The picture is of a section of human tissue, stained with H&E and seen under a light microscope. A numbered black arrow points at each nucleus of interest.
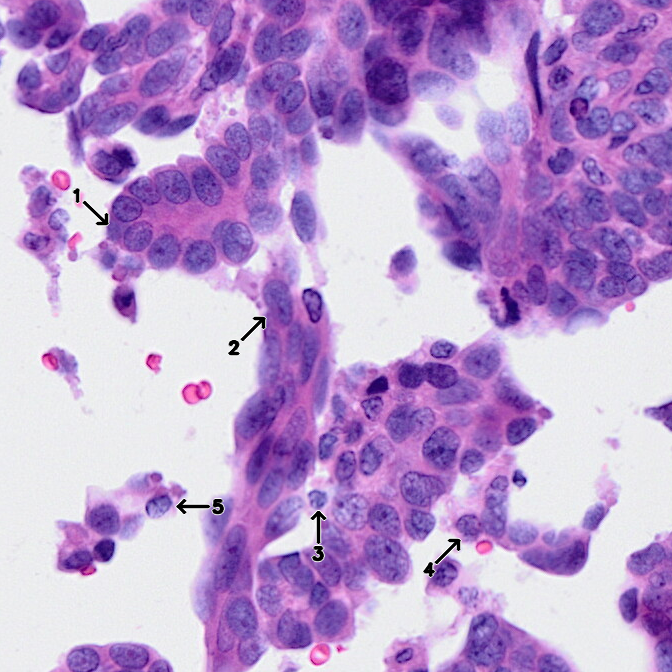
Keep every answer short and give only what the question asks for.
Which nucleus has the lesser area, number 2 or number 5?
5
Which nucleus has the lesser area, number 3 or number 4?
3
